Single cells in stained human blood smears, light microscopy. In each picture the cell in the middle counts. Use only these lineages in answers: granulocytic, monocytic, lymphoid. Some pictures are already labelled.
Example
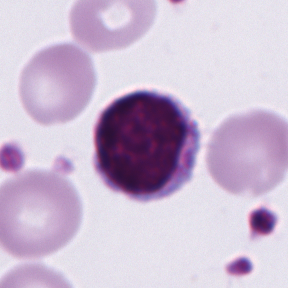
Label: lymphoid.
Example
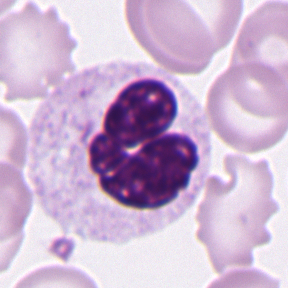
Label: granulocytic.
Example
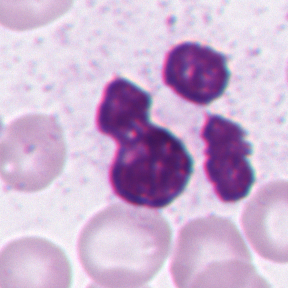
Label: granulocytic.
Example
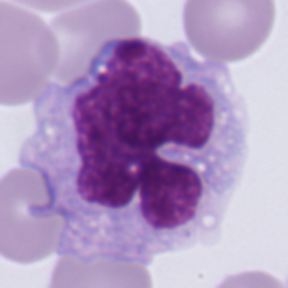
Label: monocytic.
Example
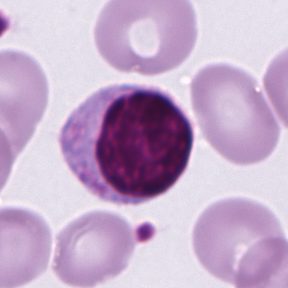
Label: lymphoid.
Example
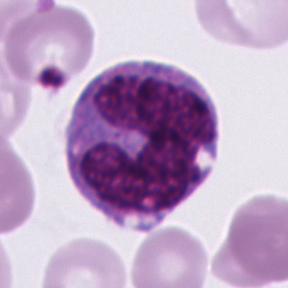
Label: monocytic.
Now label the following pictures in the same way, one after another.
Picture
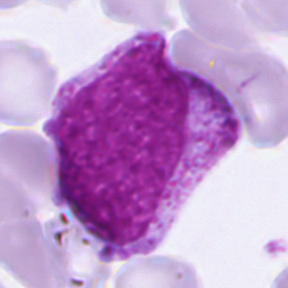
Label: granulocytic.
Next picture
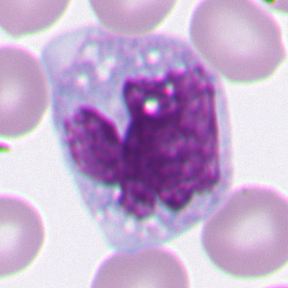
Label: monocytic.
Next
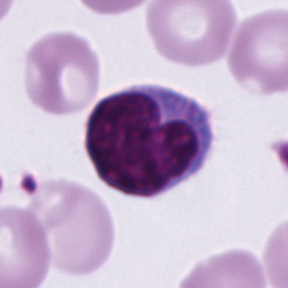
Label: lymphoid.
